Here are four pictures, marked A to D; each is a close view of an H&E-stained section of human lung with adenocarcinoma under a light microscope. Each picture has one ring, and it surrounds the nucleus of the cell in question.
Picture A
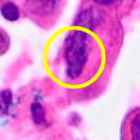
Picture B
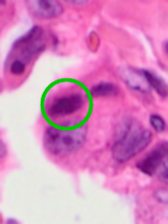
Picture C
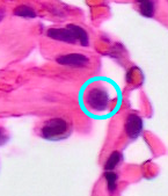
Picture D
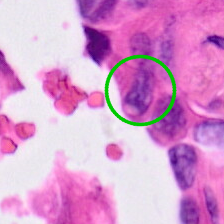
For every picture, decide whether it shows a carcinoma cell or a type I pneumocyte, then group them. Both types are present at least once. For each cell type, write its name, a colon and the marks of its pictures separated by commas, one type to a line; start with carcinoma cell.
carcinoma cell: A, B, D
type I pneumocyte: C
